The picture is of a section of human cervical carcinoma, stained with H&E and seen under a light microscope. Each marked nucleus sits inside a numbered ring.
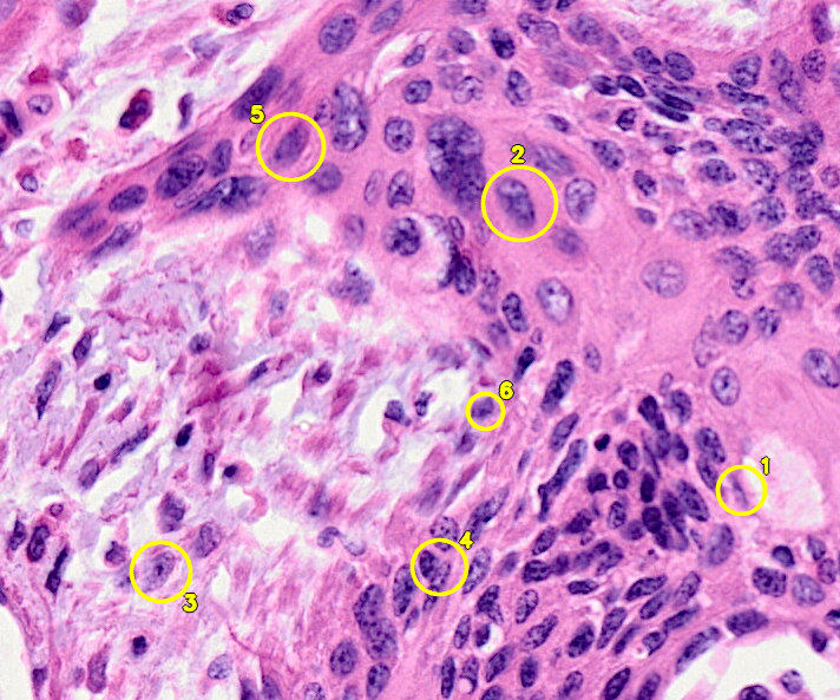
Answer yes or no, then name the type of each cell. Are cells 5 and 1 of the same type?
Yes, both are squamous carcinoma cells.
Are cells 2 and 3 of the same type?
No, cell 2 is a squamous carcinoma cell and cell 3 is a fibroblast.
